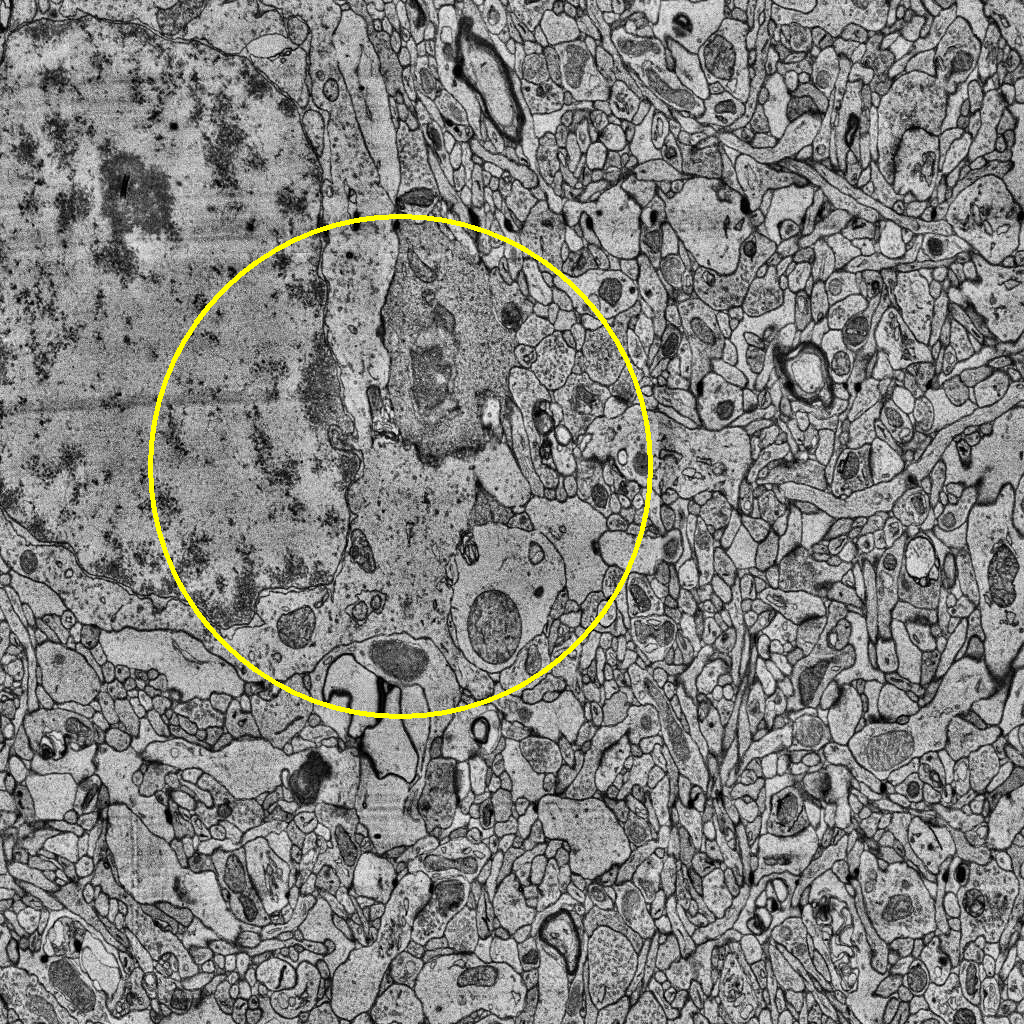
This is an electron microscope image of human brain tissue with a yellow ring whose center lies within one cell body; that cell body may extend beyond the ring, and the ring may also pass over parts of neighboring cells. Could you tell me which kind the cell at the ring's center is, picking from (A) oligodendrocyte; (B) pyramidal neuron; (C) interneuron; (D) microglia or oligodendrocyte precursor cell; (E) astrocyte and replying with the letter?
A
